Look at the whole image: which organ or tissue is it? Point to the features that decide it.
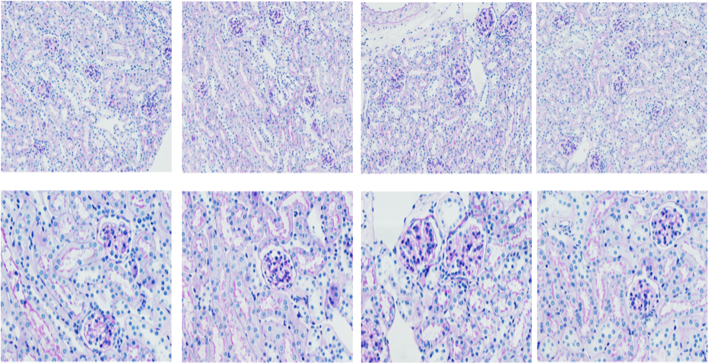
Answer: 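Kidneys. Round capillary tufts with densely packed purple nuclei sit in clear spaces. Many tubule cross-sections lined by cuboidal cells surround the tufts. Thin magenta lines outline the tubules.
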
